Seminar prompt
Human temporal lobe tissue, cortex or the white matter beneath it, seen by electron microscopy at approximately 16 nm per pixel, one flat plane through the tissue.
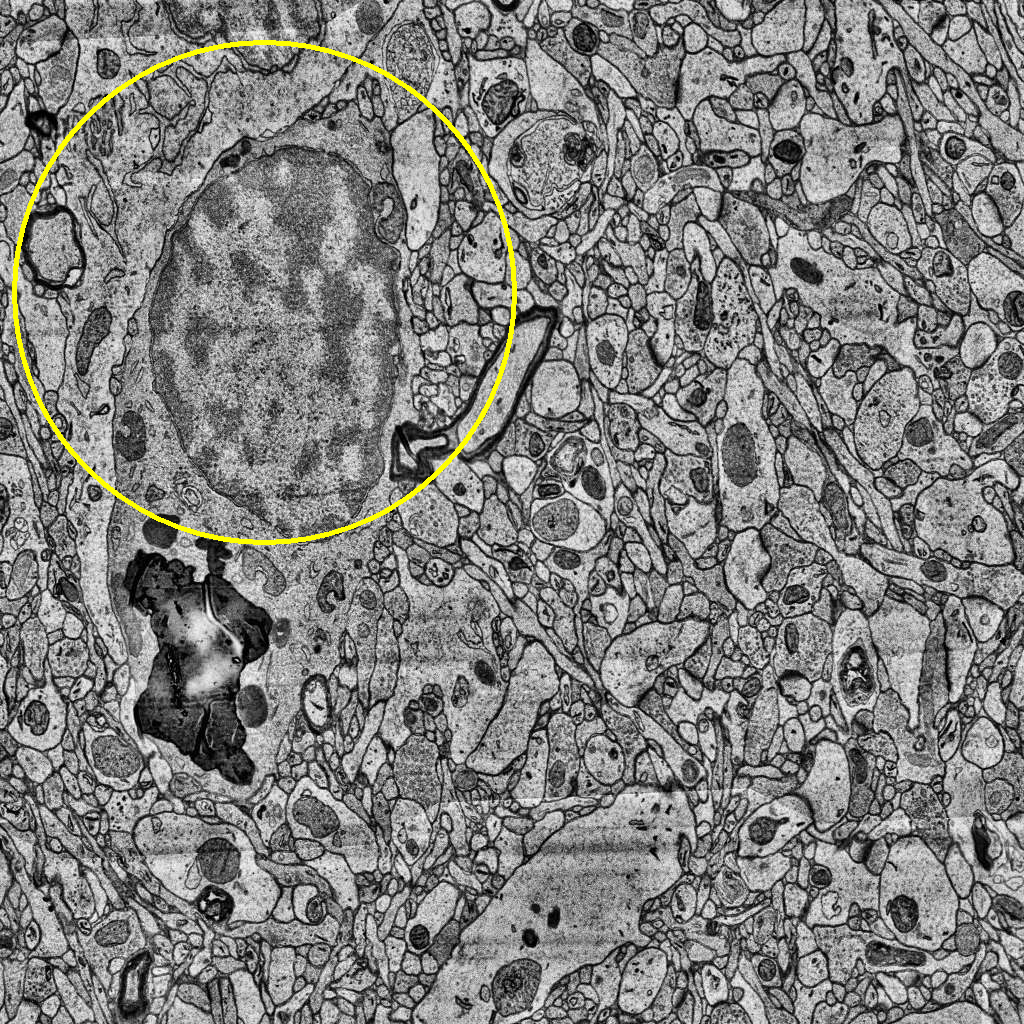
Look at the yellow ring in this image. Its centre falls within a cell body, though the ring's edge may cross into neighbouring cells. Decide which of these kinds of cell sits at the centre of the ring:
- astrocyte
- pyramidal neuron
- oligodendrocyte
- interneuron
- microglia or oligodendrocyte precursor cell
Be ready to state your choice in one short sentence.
The kind of cell at the ring's centre is an oligodendrocyte.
